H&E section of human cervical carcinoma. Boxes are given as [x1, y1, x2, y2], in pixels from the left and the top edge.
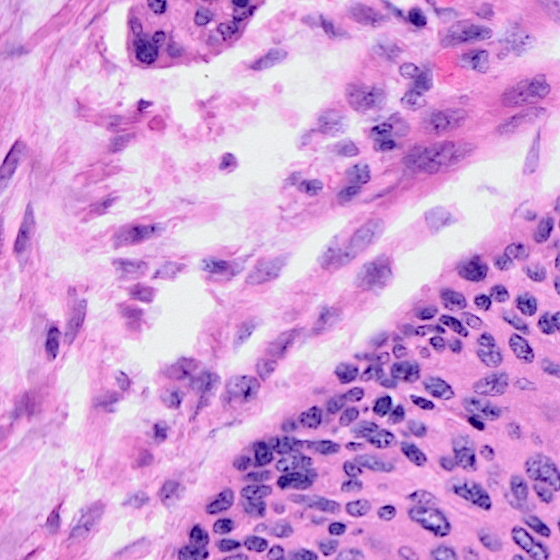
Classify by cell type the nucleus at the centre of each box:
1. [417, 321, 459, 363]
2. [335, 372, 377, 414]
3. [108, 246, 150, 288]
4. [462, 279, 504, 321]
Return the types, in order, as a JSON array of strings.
["squamous carcinoma cell", "squamous carcinoma cell", "fibroblast", "squamous carcinoma cell"]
